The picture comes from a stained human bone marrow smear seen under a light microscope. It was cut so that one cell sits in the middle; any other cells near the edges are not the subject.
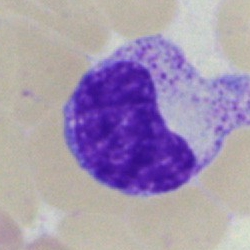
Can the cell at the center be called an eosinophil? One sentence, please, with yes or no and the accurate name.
No, what occupies the middle of the crop is a myelocyte and not an eosinophil.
